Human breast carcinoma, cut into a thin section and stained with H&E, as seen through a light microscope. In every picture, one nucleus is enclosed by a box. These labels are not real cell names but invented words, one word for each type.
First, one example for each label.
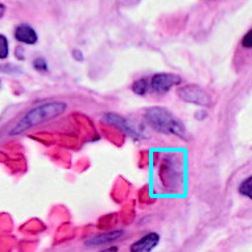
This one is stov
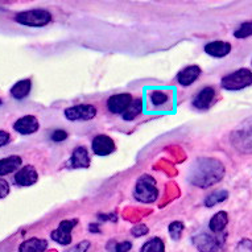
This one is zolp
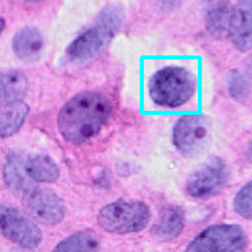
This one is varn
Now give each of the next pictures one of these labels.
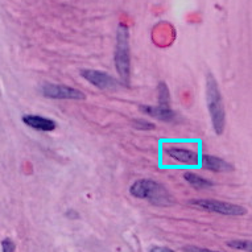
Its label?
stov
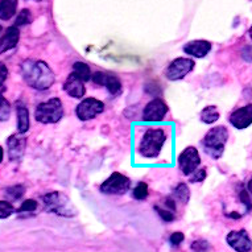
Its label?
zolp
